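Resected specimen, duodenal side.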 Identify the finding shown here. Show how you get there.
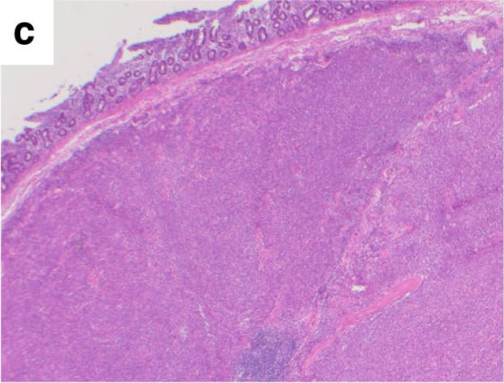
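Tumor infiltration. A thin strip of mucosa with glands runs along the top edge. A dense, cellular sheet fills the area beneath the mucosa.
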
